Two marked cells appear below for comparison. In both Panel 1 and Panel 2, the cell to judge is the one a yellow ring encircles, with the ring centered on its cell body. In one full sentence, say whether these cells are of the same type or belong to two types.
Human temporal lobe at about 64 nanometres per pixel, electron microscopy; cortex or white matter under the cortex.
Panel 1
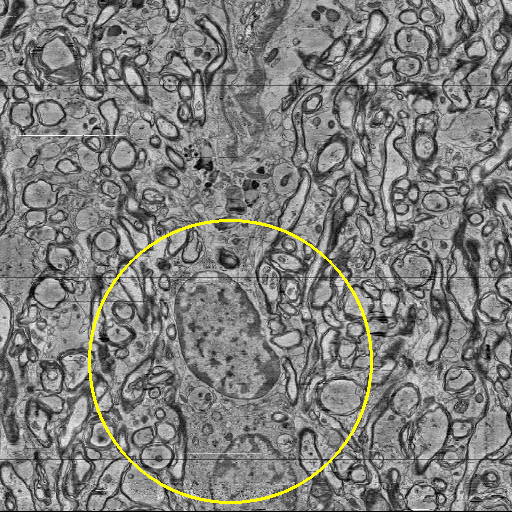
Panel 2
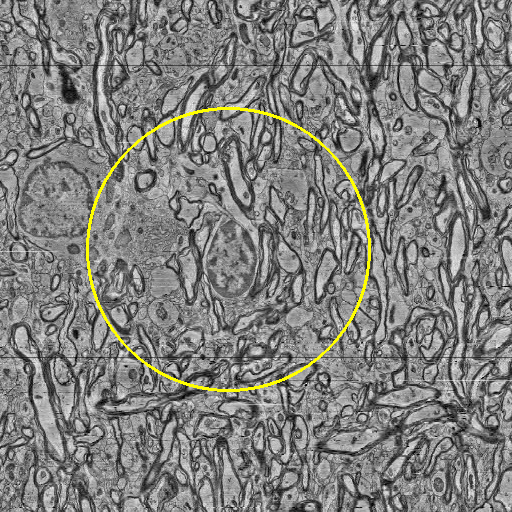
The cell centered in the Panel 1 ring and the one in Panel 2 are of the same type.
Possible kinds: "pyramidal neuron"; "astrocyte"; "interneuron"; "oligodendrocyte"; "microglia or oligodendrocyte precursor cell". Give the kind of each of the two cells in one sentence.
Each cell at the centre of a ring is a microglial cell or oligodendrocyte precursor cell.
